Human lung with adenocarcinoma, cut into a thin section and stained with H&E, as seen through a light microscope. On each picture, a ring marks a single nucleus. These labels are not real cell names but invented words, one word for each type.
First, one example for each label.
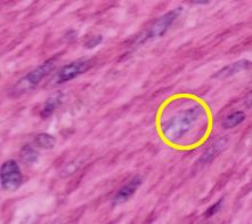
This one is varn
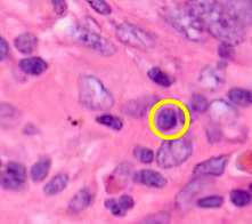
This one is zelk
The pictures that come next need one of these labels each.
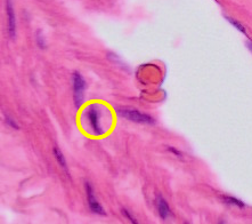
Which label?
varn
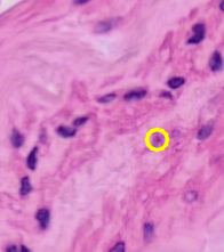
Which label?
varn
